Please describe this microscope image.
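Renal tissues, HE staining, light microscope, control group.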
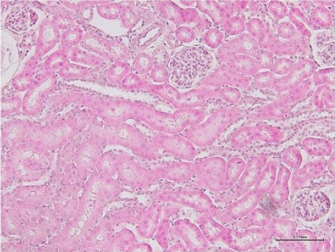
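This is kidney cortex with glomeruli and closely packed tubules stained pink and purple. The tubular lumens are narrow and empty, and the tubules lie close together with little tissue in between. Overall the architecture looks orderly, without casts or detached cells.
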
